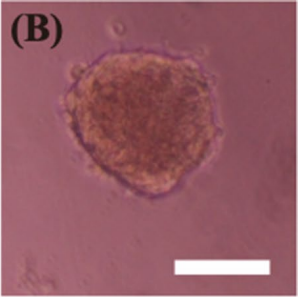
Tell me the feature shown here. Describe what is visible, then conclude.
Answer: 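A single rounded, compact three-dimensional aggregate of cells. The aggregate has a fairly smooth outer edge. A few loose rounded cells sit on its surface. The answer: spheroid.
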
